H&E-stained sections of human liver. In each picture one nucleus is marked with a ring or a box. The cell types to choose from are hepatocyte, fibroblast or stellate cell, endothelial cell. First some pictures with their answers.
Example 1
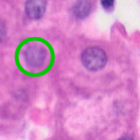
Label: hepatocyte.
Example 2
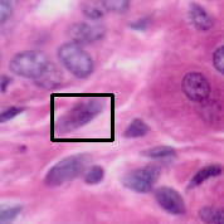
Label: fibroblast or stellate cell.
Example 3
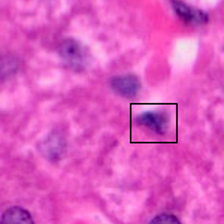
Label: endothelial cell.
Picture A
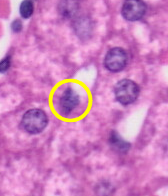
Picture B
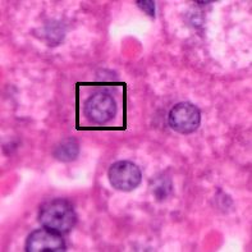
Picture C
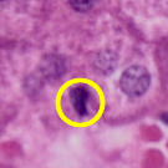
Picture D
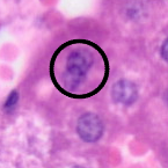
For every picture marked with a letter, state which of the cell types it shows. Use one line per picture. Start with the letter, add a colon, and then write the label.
A: endothelial cell.
B: hepatocyte.
C: fibroblast or stellate cell.
D: hepatocyte.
